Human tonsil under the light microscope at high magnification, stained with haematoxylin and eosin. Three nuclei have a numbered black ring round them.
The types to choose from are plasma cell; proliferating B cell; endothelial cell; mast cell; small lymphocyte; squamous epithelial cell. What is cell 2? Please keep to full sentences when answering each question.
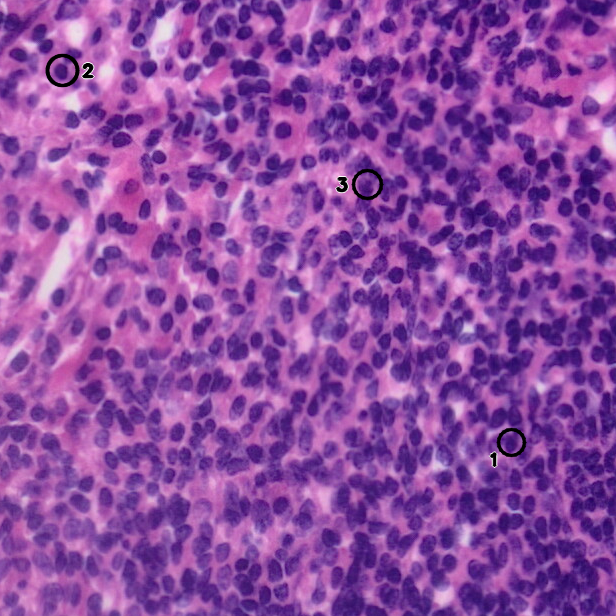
The numbered cell 2 is identified here as a plasma cell.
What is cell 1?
Numbered cell 1 is a small lymphocyte in this tissue section.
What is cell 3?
Belonging to a small lymphocyte is the nucleus that carries the number 3.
